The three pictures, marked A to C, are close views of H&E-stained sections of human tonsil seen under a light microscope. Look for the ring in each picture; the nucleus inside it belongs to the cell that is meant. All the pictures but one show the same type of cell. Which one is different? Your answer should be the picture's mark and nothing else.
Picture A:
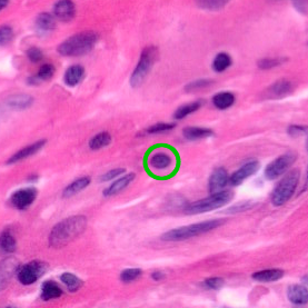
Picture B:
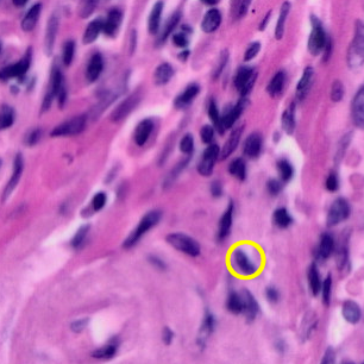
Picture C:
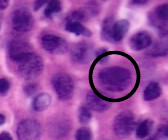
C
